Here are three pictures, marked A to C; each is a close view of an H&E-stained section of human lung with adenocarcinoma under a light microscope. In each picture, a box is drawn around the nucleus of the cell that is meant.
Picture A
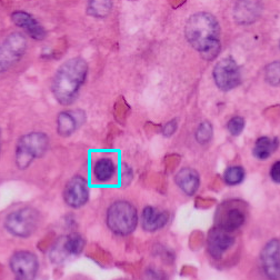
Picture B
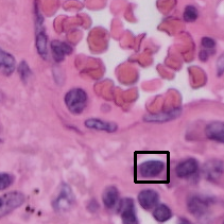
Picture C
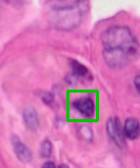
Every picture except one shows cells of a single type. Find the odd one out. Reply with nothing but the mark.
A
